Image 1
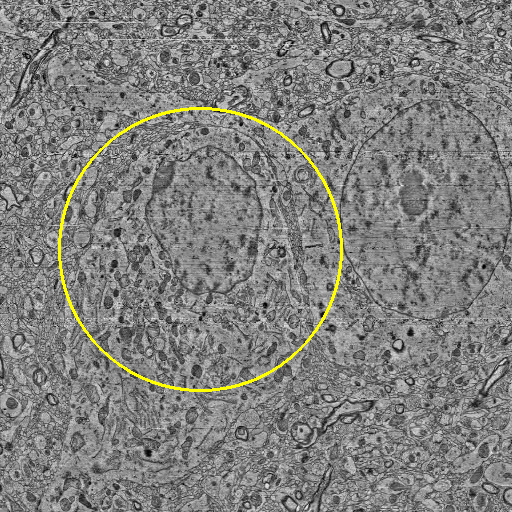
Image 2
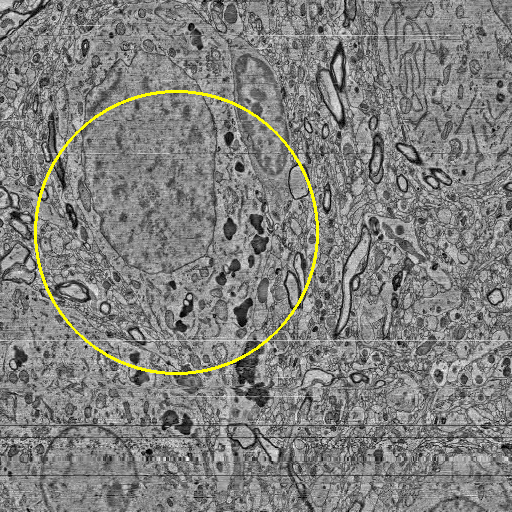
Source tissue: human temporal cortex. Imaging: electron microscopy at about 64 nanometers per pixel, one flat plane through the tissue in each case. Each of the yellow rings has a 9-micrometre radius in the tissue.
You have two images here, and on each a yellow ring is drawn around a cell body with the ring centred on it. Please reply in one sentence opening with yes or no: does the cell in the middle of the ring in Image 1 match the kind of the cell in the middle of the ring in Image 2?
Yes, the two images show cells of one kind at the centres of their rings.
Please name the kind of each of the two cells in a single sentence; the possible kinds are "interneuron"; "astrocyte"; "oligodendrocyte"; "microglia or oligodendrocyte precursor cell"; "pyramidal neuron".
The cell in the first picture is an interneuron, and so is the one in the second.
